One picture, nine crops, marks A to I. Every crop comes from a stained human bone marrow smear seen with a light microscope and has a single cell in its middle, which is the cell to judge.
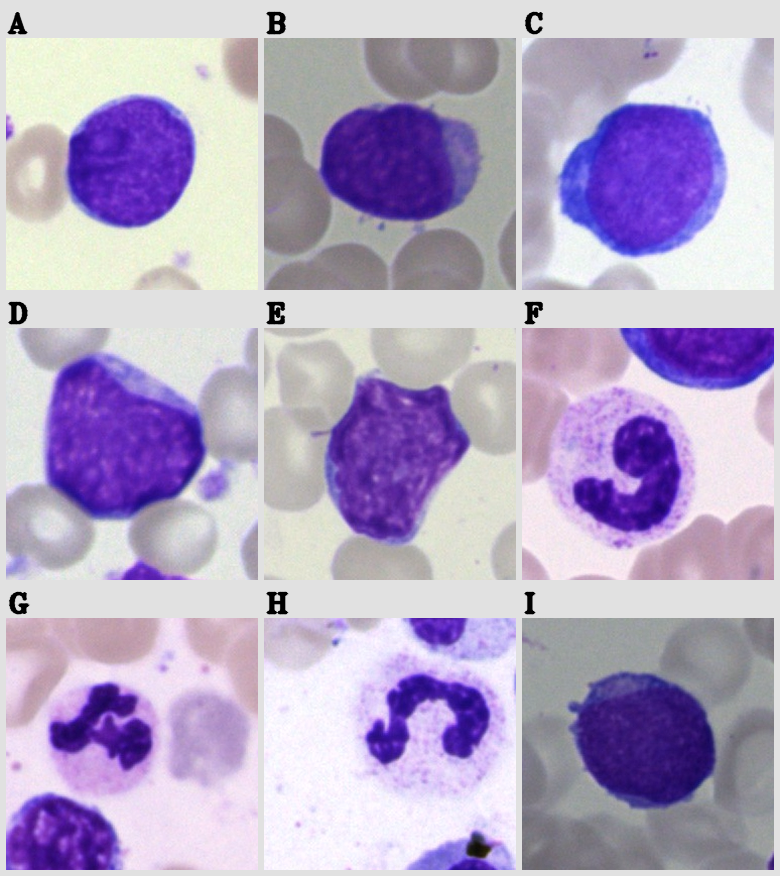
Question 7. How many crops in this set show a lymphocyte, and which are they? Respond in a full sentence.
The full set of crops holds no lymphocytes, so the count is zero.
